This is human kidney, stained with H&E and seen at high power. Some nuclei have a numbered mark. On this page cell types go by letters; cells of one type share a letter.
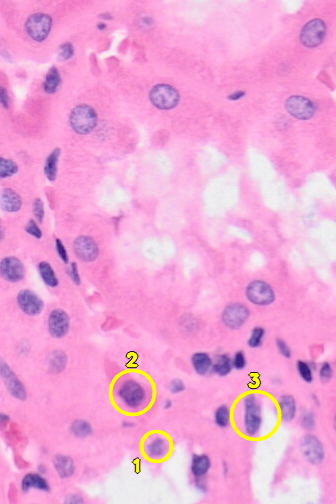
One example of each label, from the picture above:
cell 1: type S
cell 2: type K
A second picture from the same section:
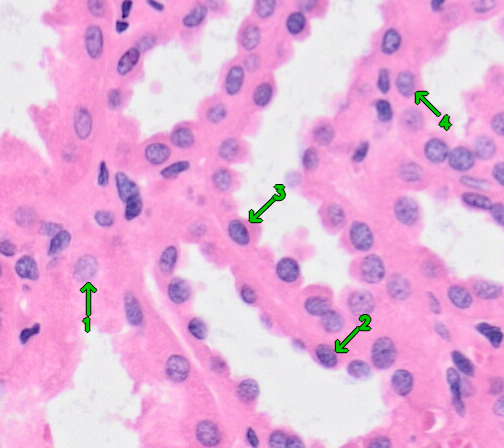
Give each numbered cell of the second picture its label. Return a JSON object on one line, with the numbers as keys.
{"1": "type K", "2": "type S", "3": "type S", "4": "type S"}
